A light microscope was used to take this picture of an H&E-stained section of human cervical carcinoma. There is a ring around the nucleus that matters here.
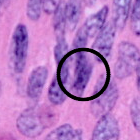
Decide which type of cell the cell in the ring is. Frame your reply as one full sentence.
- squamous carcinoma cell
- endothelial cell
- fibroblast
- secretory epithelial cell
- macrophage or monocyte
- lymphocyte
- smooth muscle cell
In the tissue under study, the cell in the ring is a squamous carcinoma cell.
